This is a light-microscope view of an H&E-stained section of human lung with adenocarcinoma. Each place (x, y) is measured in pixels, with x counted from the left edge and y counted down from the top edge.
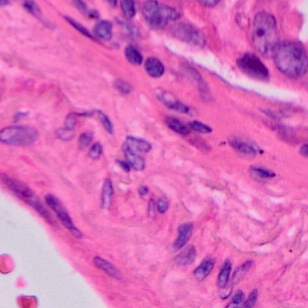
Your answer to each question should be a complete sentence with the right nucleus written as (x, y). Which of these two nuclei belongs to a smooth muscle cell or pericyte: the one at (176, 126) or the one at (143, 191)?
Of these two nuclei, it is the one at (143, 191) that belongs to a smooth muscle cell or pericyte.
